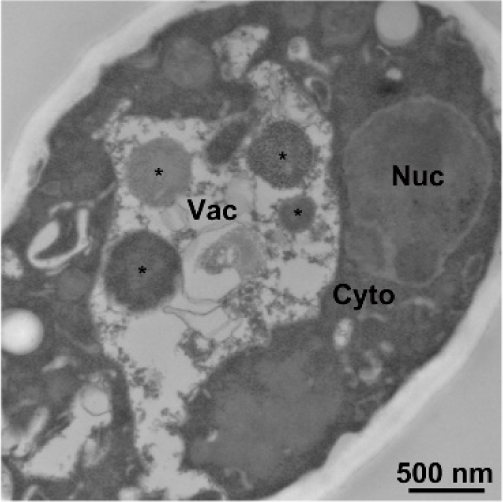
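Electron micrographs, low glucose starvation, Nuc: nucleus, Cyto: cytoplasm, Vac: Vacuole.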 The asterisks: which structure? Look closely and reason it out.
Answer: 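Several large round bodies with dense granular content lie inside the vacuole. Each asterisk sits on one of these round bodies. On this evidence: autophagic bodies.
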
